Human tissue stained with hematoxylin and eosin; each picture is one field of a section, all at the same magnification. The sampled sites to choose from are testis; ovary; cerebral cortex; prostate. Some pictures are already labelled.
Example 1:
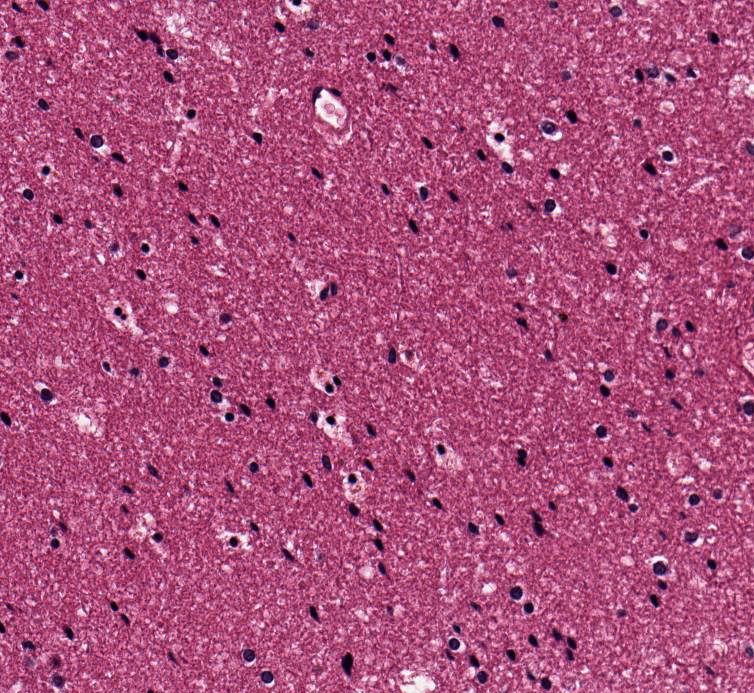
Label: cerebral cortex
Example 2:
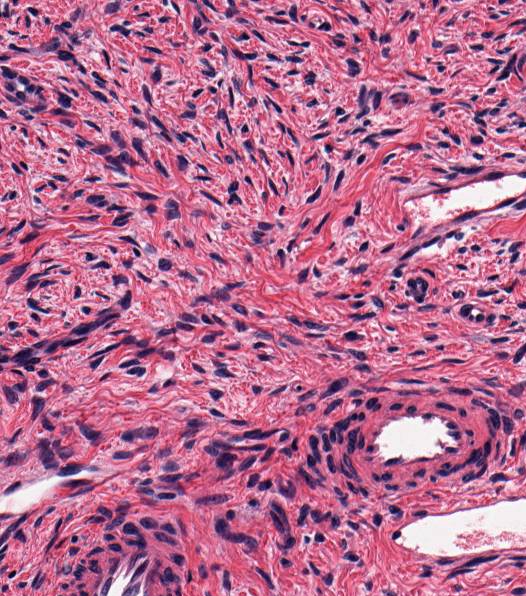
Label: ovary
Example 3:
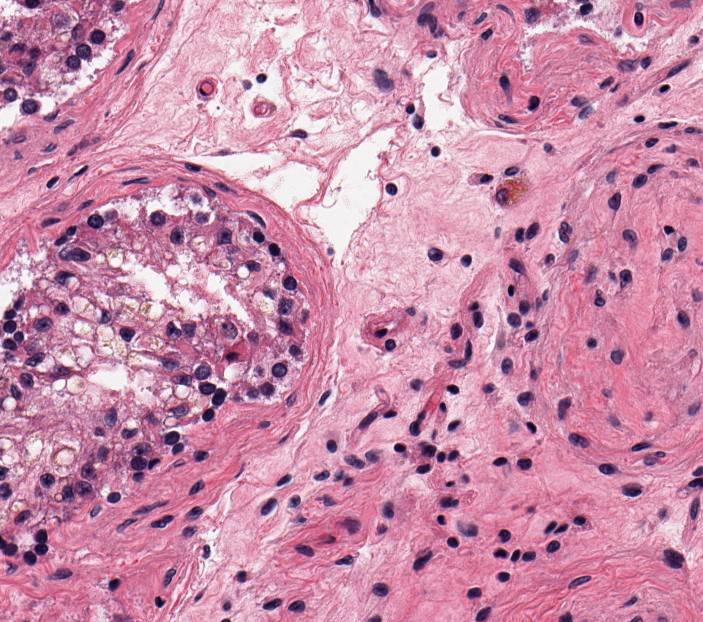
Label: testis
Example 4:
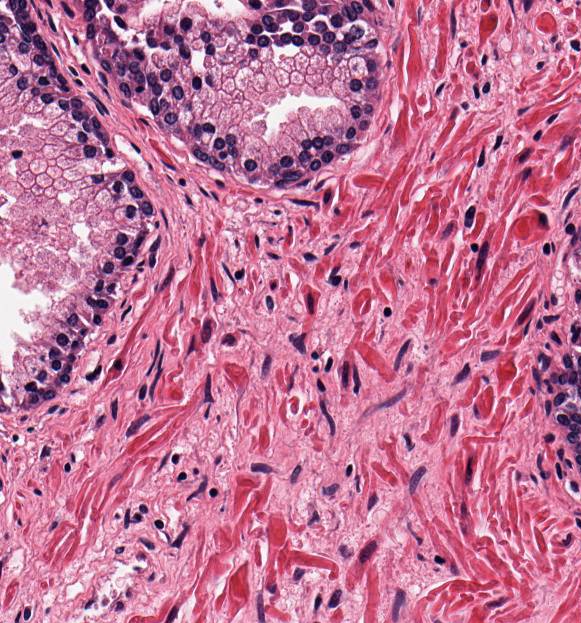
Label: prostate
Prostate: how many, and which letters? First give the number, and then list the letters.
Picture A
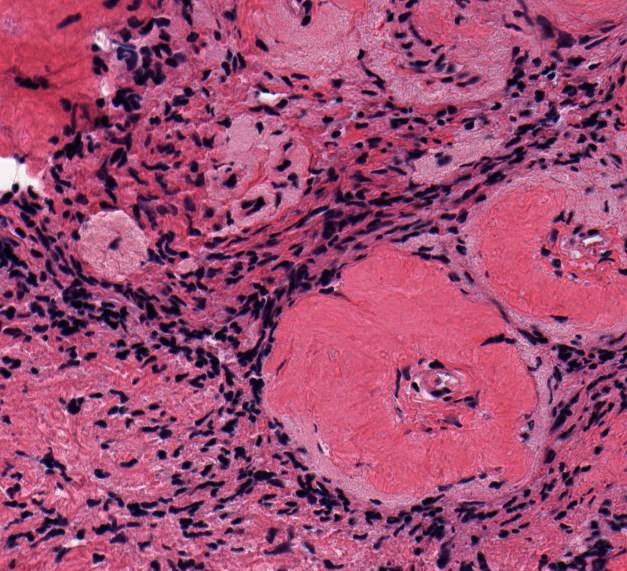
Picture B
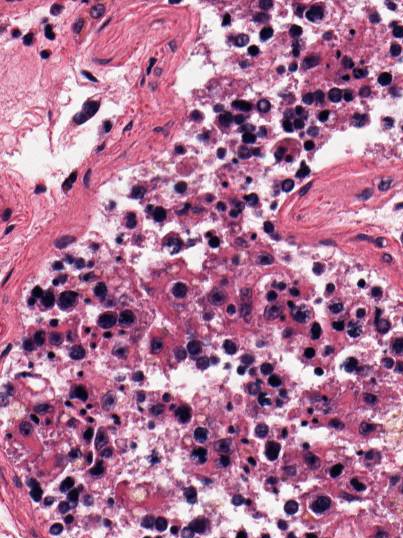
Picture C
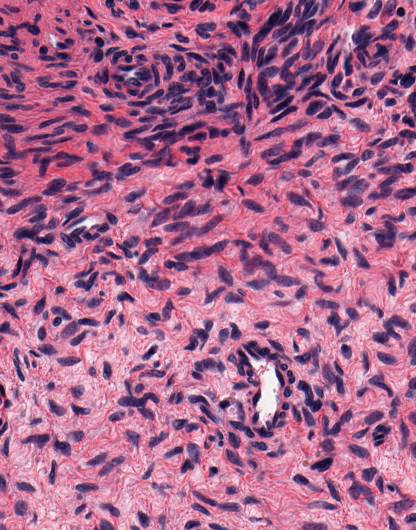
0, none of them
